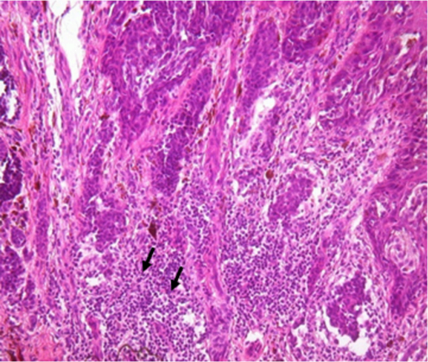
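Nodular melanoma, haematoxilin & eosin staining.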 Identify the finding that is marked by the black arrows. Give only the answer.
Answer: Immune cell infiltration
